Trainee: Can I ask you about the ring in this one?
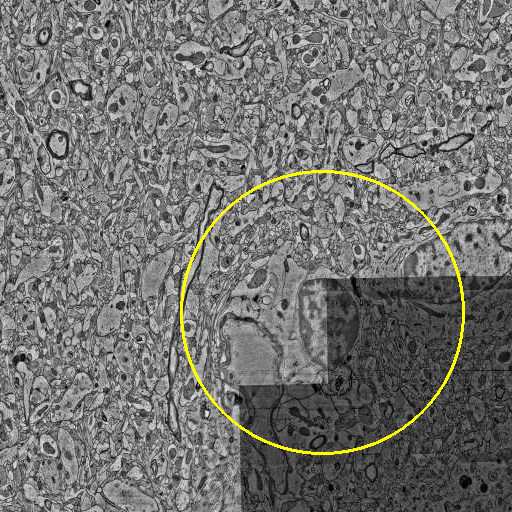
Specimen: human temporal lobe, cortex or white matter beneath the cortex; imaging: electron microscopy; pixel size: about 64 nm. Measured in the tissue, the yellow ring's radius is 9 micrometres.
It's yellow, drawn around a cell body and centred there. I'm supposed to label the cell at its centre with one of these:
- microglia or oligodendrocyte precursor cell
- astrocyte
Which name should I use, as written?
microglia or oligodendrocyte precursor cell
